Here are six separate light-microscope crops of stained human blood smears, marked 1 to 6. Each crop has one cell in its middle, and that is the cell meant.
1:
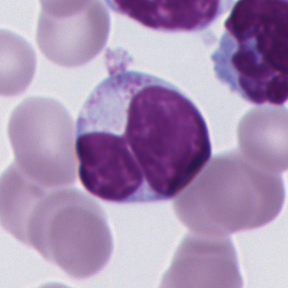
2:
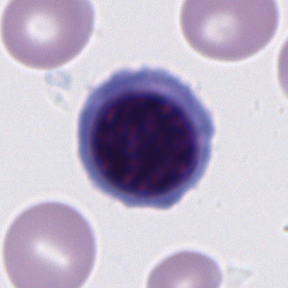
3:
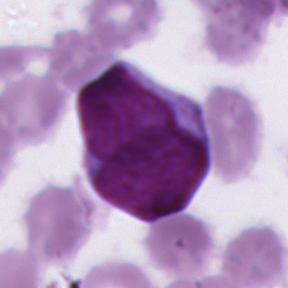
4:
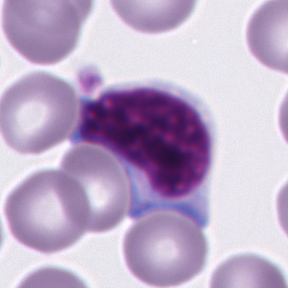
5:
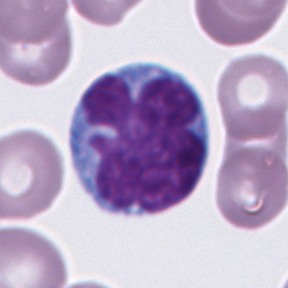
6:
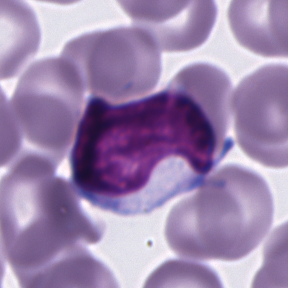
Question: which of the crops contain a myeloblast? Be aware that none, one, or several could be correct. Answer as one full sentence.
Crops 3 and 5 show myeloblasts as their centred cells.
